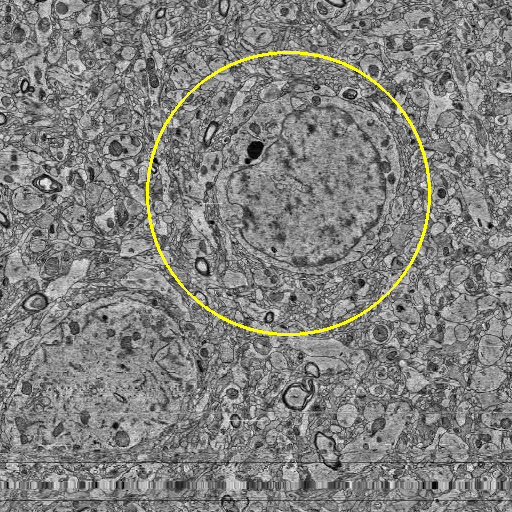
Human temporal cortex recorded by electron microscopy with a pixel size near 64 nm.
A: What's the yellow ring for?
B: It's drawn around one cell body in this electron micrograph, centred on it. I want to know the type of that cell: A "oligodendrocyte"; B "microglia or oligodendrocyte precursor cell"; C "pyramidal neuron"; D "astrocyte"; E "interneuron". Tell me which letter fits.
E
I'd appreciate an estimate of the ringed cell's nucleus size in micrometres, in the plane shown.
In this plane, the nucleus is roughly 11 by 9 micrometres.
